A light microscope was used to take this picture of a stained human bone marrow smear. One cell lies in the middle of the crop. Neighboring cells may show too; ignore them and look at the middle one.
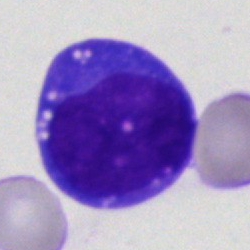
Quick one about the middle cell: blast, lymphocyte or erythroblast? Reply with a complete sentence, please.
Positioned in the middle of the crop is a blast.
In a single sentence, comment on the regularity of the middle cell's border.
The edge of the cell is unbroken and smooth, bearing no projections.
